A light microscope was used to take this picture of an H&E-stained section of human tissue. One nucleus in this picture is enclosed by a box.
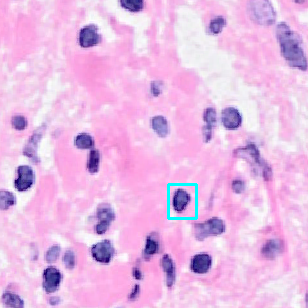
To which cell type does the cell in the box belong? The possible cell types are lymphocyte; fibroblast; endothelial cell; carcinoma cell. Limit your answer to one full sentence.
In the tissue under study, the cell in the box is a lymphocyte.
